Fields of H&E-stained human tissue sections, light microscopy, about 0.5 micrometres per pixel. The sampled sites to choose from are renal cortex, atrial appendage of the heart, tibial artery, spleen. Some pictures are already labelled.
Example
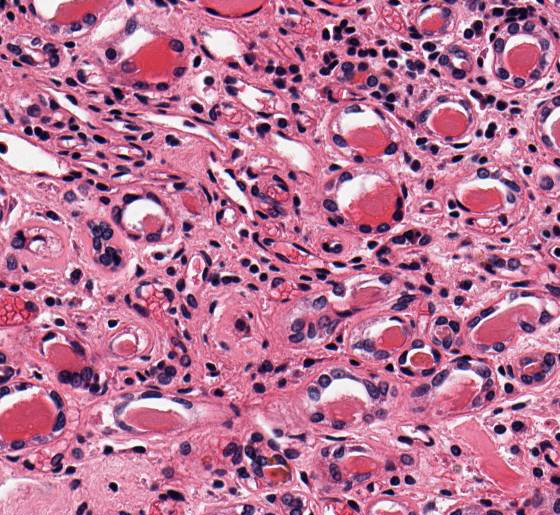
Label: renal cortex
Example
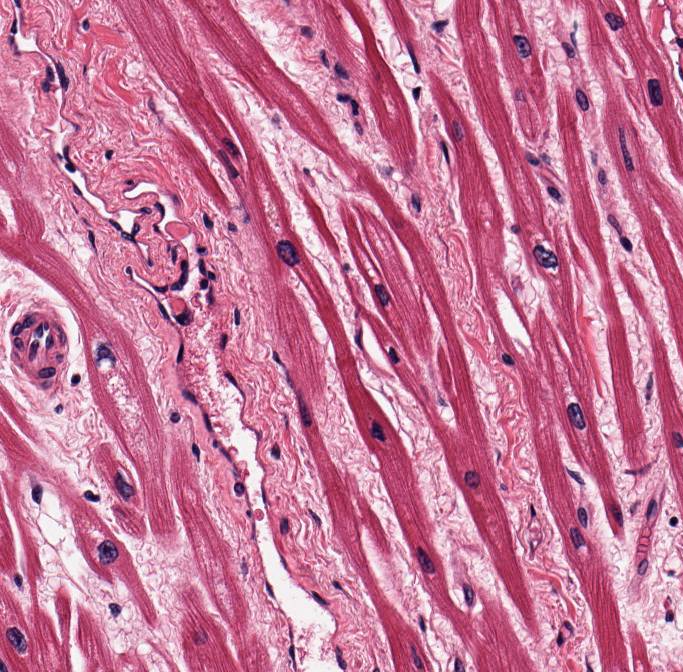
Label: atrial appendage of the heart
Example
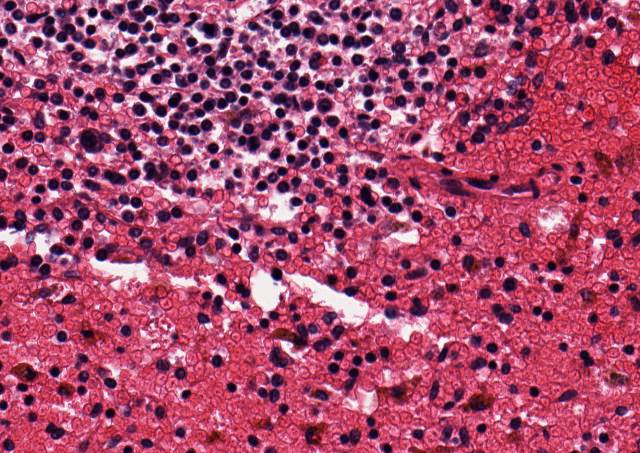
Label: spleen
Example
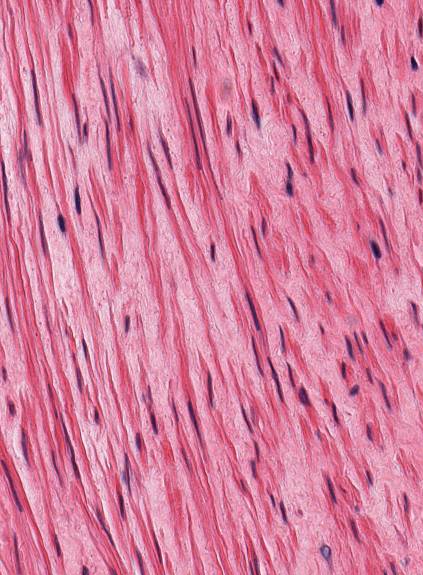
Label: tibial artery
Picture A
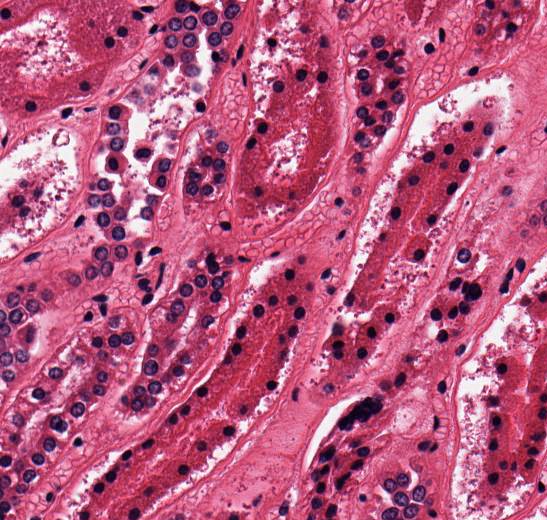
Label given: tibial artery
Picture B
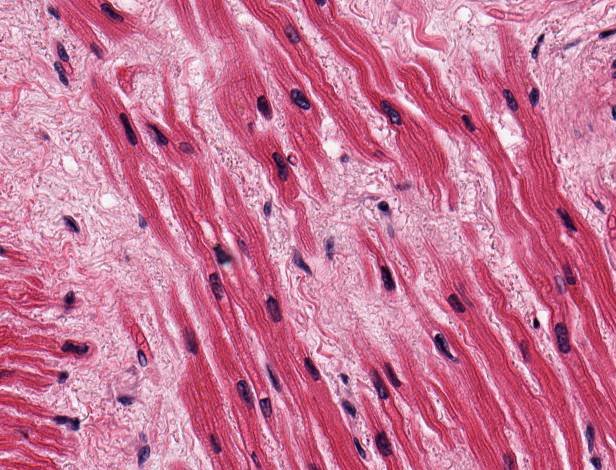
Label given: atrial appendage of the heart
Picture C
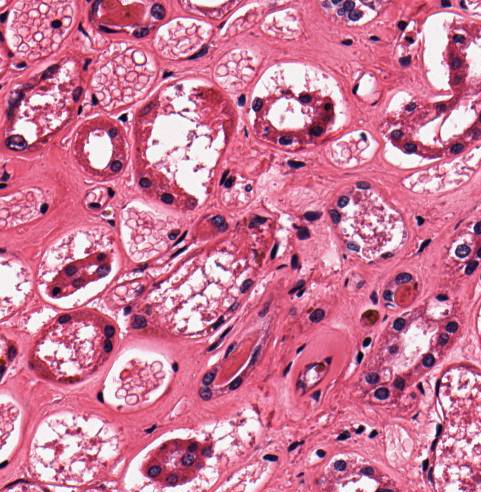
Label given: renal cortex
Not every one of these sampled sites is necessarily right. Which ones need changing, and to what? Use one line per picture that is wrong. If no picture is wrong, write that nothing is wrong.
A: change tibial artery to renal cortex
